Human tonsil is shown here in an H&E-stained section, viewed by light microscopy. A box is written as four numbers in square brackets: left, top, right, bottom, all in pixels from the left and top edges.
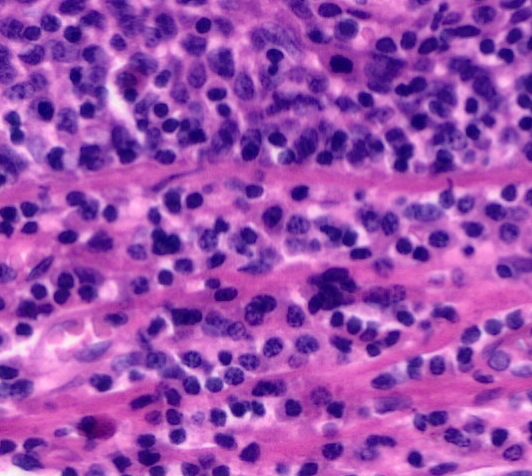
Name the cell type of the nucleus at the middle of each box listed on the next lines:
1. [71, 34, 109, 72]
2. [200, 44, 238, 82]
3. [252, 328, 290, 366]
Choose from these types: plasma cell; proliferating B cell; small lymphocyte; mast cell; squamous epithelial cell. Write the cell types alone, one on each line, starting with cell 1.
squamous epithelial cell
squamous epithelial cell
plasma cell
